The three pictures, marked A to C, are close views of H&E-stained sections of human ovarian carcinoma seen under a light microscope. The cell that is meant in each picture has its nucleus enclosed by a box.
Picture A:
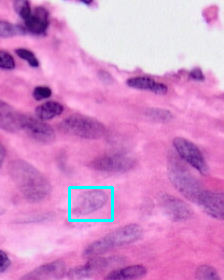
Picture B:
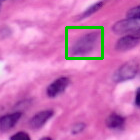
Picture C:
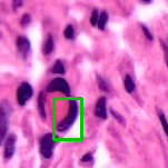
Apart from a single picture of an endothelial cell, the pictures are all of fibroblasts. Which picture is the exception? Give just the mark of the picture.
C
